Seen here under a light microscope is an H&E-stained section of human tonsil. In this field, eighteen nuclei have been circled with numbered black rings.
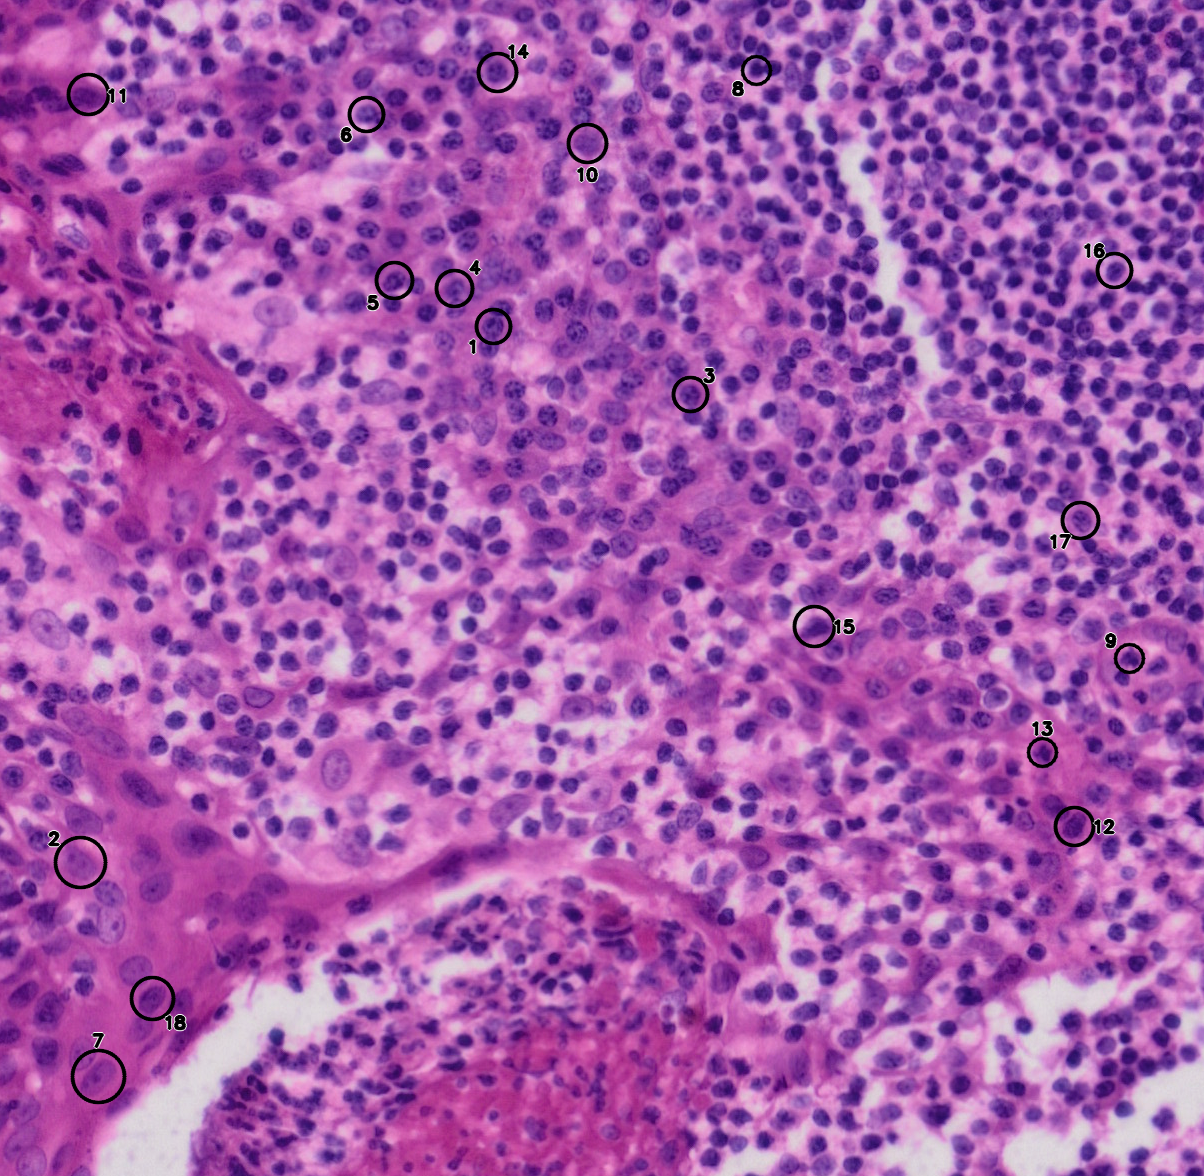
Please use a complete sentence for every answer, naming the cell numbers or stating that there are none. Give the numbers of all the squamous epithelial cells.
The identity of cells 2, 7, 10, 11, 12, 13, 15 and 18: they are squamous epithelial cells.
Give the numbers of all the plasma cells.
Regarding the numbered cells 1, 3, 4, 5, 6, 14 and 17, these are plasma cells.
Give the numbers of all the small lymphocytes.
The cells which carry the numbers 8 and 16 are small lymphocytes.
